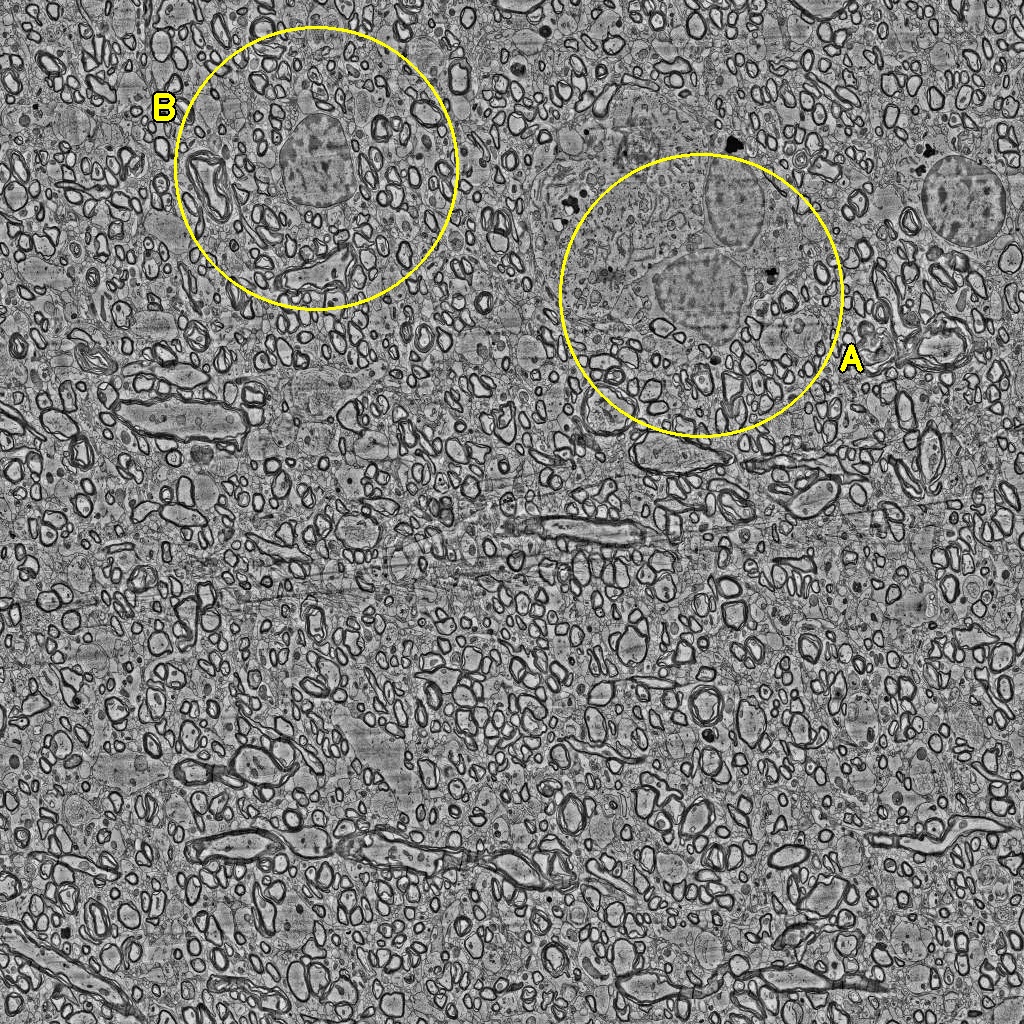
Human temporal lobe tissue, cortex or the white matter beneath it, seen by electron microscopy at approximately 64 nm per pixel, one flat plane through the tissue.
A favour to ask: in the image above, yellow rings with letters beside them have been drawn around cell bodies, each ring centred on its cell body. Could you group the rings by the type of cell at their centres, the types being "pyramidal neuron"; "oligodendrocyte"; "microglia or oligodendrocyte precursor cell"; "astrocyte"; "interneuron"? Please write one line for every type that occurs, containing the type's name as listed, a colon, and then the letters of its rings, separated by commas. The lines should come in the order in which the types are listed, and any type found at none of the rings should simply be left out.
oligodendrocyte: A
microglia or oligodendrocyte precursor cell: B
